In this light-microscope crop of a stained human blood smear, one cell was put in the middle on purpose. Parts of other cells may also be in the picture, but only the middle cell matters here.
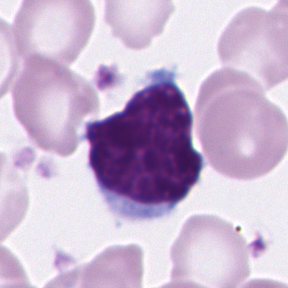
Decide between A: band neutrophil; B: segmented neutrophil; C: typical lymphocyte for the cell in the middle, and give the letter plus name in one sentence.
With the cell in the middle being a typical lymphocyte, option C is the correct choice.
